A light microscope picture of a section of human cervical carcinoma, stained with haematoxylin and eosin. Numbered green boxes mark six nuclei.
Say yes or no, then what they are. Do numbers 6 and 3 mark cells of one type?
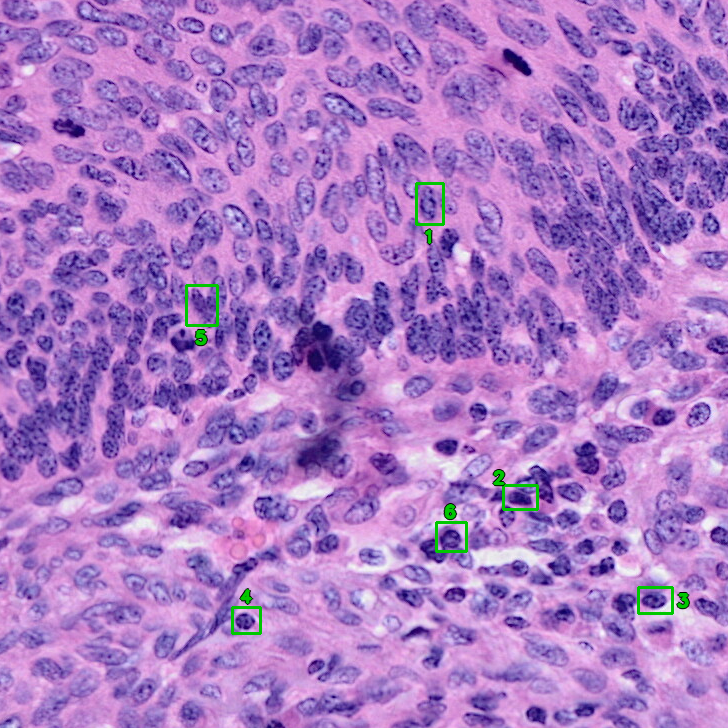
Yes, cells 6 and 3 both belong to the category of lymphocytes.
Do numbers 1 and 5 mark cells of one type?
Yes, within the numbered set, cells 1 and 5 are both squamous carcinoma cells.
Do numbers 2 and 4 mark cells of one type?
Yes, cells 2 and 4 are both lymphocytes and thus of one type.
